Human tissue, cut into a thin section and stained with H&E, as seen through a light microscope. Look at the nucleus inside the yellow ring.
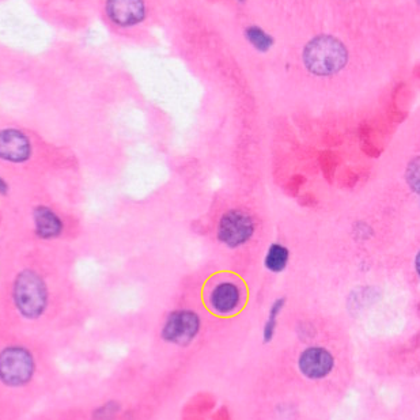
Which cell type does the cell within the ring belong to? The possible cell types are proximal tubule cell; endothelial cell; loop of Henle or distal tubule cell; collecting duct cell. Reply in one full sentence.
In terms of identity, the cell within the ring is a proximal tubule cell.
